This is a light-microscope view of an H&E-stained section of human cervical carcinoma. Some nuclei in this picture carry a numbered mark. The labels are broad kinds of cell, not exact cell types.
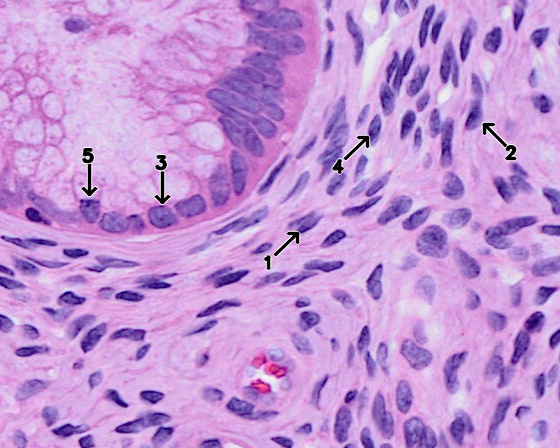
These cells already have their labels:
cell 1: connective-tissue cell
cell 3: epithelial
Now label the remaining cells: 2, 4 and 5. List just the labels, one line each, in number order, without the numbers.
connective-tissue cell
connective-tissue cell
epithelial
